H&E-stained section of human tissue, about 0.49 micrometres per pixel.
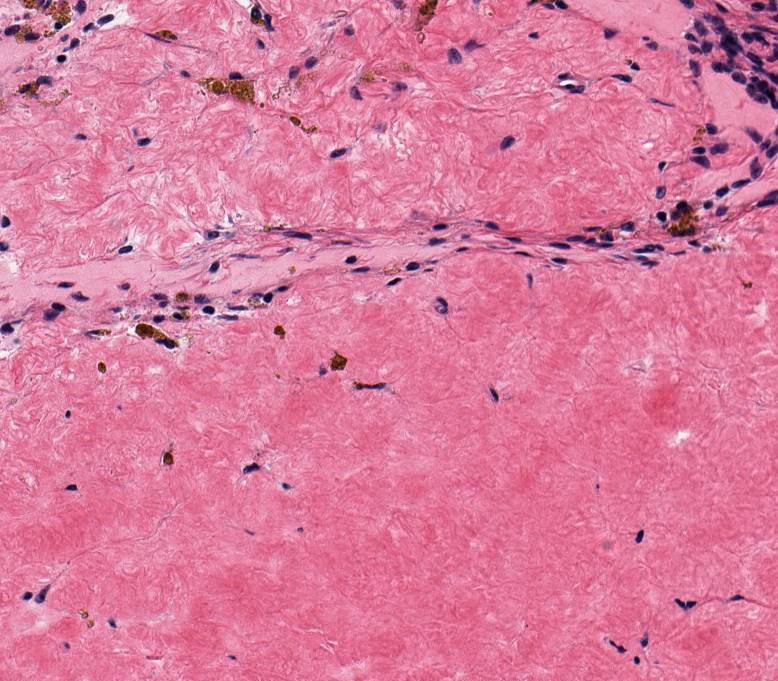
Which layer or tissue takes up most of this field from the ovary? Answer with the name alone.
corpus albicans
